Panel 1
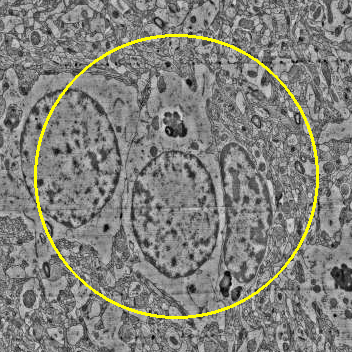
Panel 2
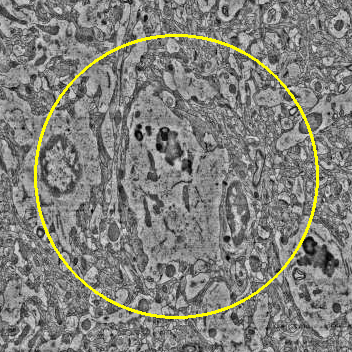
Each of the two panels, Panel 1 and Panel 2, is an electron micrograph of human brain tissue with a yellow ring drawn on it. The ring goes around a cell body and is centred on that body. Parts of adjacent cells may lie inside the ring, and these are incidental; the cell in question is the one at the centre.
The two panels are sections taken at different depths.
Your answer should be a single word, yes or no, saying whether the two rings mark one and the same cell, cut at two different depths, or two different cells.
yes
